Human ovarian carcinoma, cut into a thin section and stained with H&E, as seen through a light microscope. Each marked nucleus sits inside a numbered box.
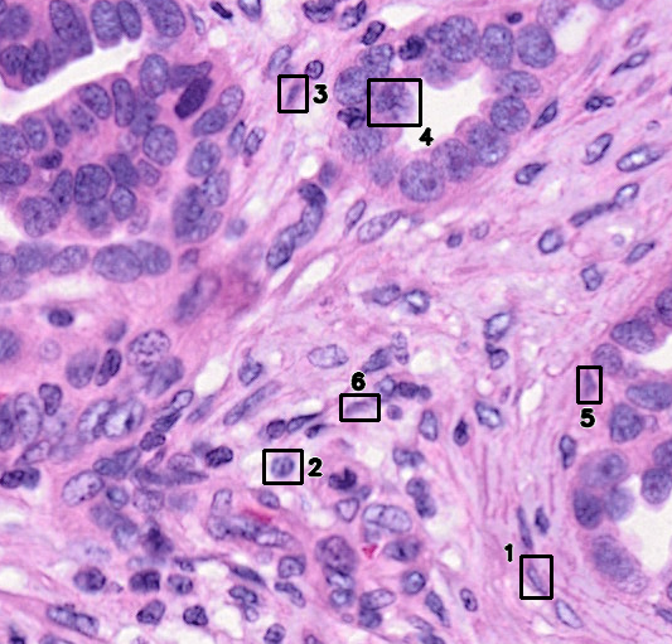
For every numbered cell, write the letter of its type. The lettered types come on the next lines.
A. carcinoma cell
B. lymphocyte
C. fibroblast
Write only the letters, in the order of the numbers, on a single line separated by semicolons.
C; B; C; A; C; C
